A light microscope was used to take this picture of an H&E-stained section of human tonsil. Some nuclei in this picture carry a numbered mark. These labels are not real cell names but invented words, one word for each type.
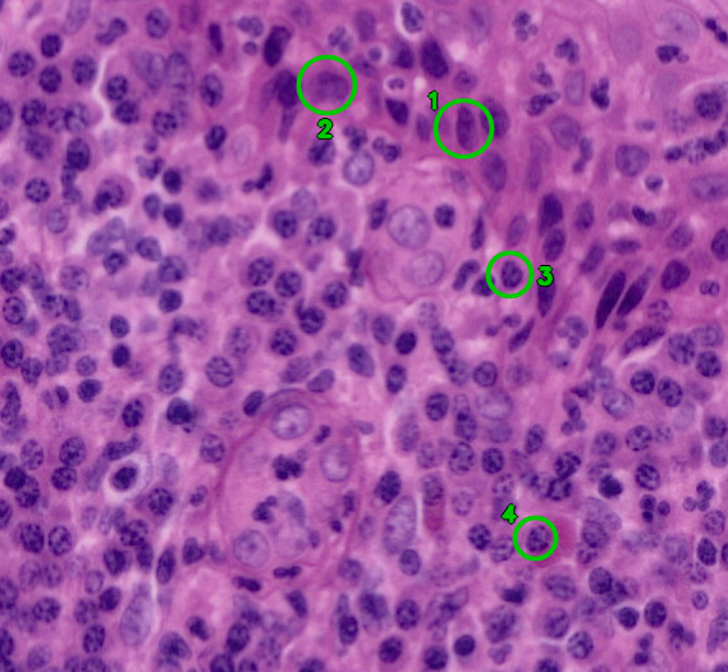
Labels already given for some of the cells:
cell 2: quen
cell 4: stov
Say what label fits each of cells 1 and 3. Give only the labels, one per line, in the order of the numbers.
quen
stov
